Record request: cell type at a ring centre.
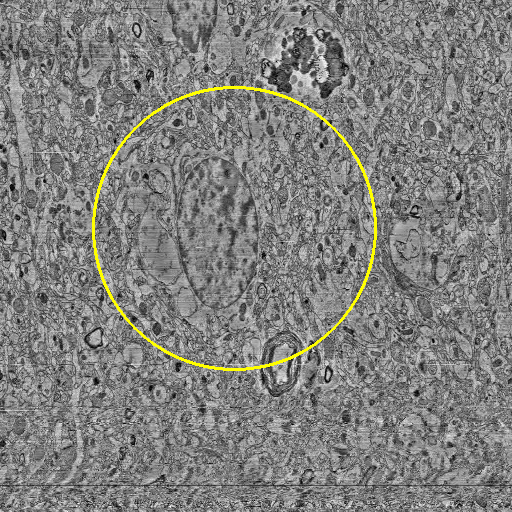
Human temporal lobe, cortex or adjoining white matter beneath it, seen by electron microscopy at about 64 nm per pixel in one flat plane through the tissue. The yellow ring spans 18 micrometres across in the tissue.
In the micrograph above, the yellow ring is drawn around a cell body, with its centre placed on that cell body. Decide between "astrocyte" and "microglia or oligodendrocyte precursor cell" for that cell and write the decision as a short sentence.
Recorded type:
The cell centred in the yellow ring is an astrocyte.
